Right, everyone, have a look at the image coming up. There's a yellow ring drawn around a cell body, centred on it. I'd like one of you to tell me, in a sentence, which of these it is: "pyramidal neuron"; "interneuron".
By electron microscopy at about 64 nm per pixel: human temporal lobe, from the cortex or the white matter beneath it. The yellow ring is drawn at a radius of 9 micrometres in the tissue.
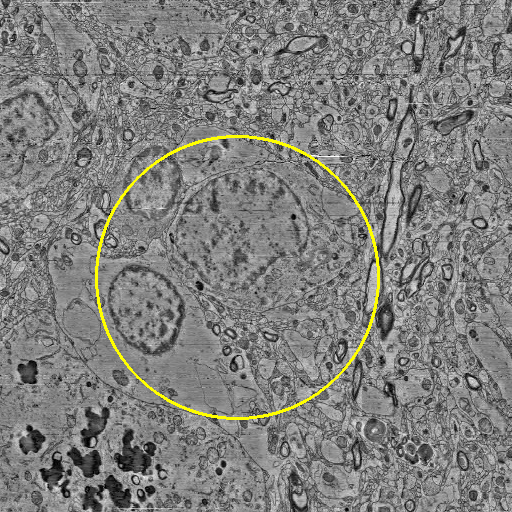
The yellow ring sits on an interneuron.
